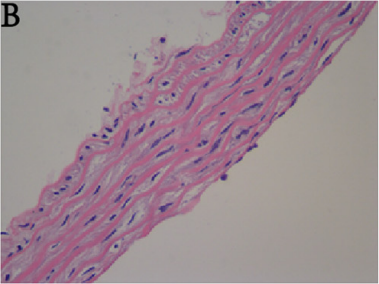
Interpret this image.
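A section of aortic wall whose wavy pink lamellae are pushed apart by pale, clear spaces, so the layers look loose and less orderly. Elongated purple nuclei lie between the lamellae, and one edge of the wall is frayed with small vacuoles and loose strands.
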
